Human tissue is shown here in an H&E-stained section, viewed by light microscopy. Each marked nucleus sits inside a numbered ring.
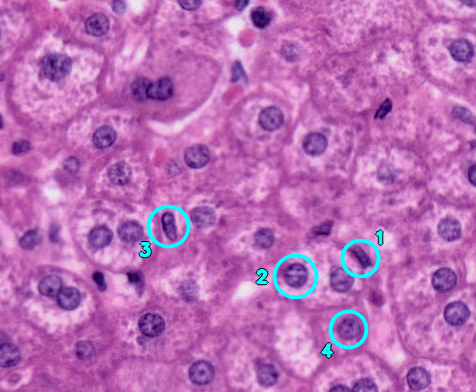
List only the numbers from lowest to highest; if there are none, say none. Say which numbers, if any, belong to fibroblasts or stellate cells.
1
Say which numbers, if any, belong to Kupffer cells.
3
